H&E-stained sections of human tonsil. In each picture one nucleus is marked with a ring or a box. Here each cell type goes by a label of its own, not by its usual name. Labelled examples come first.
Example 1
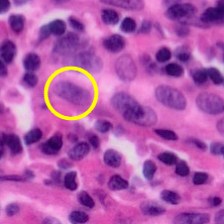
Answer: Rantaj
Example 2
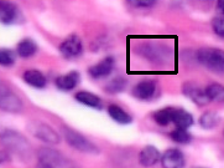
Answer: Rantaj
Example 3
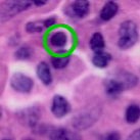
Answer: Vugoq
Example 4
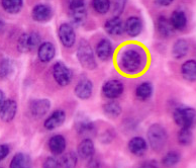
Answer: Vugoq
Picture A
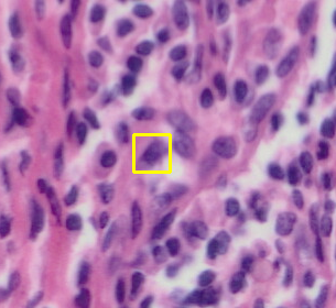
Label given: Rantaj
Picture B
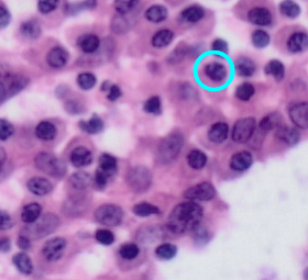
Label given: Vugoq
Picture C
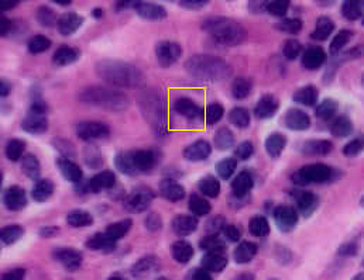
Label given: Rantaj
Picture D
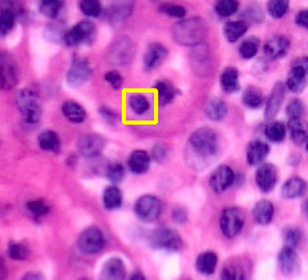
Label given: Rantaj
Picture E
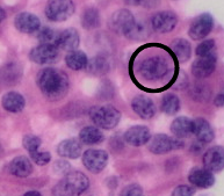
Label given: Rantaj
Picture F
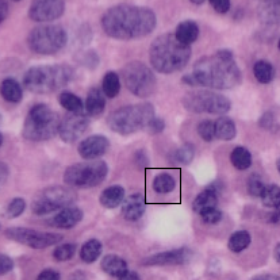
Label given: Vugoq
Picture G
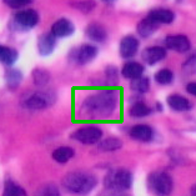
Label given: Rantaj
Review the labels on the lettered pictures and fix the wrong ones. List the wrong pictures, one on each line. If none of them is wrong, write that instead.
E: change Rantaj to Vugoq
